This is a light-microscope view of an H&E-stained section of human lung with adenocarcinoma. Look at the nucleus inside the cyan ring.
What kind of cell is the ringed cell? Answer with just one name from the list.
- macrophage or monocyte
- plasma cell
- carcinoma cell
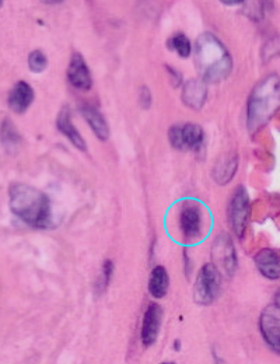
plasma cell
